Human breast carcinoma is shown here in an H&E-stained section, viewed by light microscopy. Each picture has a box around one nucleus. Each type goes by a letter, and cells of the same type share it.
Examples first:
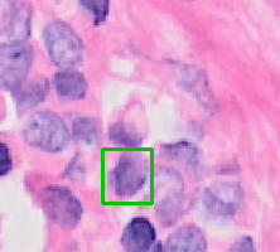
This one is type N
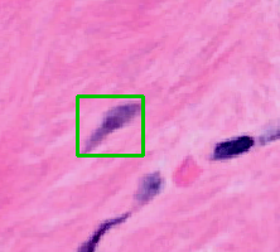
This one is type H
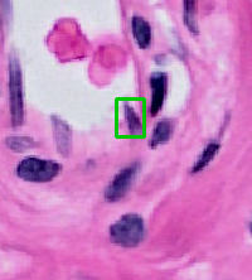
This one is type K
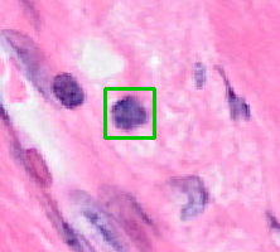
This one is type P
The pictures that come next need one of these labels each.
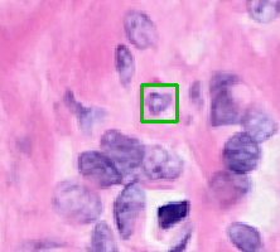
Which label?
type K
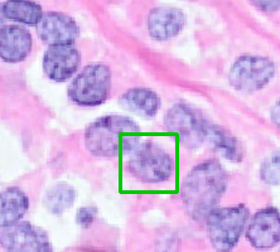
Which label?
type N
